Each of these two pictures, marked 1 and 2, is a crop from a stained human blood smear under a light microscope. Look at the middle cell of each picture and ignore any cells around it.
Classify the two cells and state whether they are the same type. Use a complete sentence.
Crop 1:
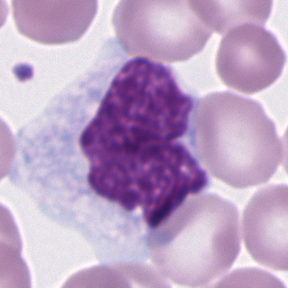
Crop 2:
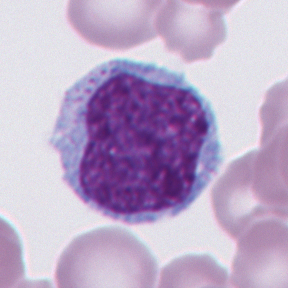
Yes, the cells that both crops show at the centre are monocytes.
